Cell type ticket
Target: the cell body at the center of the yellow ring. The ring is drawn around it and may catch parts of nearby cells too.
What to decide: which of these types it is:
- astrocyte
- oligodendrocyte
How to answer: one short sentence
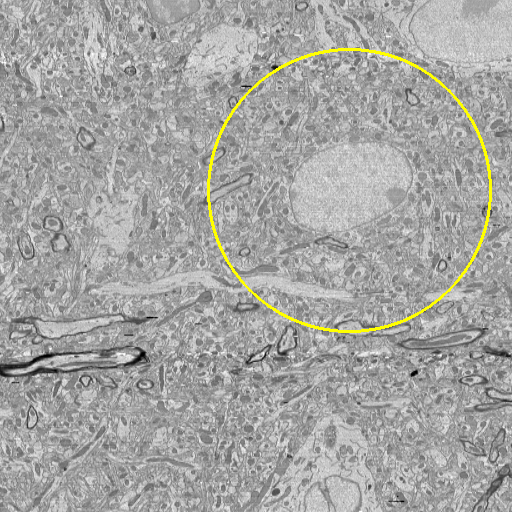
The cell at the center of the ring is an astrocyte.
